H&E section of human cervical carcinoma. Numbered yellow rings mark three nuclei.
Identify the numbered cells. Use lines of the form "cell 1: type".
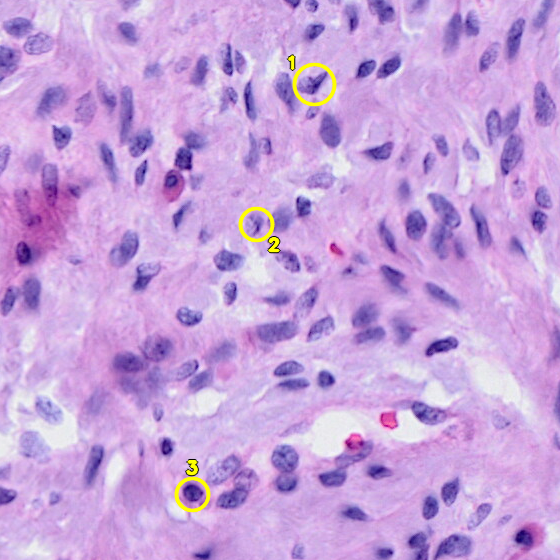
cell 1: fibroblast
cell 2: fibroblast
cell 3: endothelial cell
